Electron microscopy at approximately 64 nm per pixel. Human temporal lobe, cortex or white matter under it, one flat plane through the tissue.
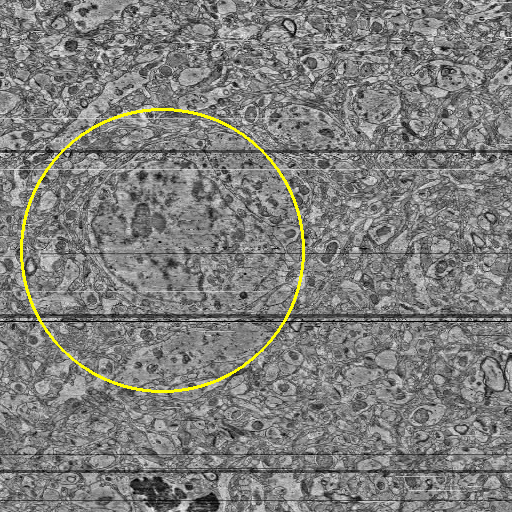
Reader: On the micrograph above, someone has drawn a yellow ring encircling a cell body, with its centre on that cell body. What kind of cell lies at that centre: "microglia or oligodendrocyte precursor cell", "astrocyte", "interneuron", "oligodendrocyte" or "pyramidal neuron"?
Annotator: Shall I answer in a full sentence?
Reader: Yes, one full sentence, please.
Here an interneuron sits at the centre of the yellow ring drawn on the micrograph.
